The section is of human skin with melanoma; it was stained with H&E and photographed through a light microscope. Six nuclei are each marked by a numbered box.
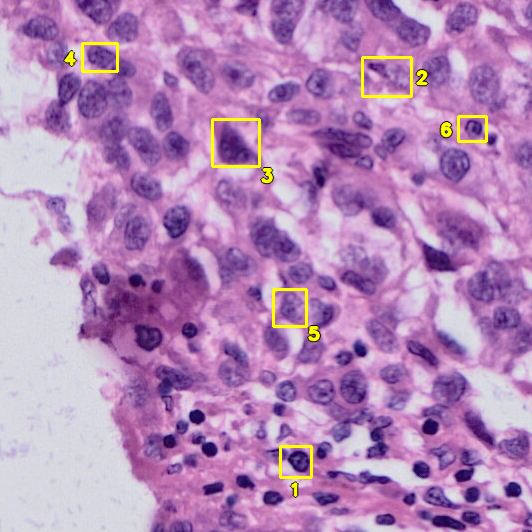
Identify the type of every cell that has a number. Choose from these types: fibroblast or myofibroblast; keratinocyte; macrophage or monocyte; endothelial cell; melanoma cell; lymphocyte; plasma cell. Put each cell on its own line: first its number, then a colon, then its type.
1: plasma cell
2: melanoma cell
3: melanoma cell
4: melanoma cell
5: melanoma cell
6: macrophage or monocyte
